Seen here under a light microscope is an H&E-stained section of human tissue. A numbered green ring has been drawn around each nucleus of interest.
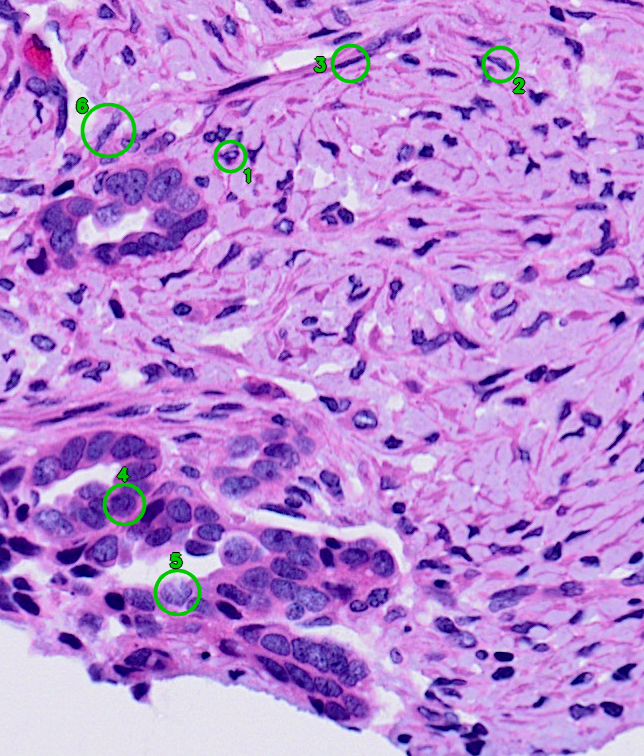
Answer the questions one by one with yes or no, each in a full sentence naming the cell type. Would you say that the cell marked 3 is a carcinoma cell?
No, cell 3 does not represent a carcinoma cell; it represents a fibroblast.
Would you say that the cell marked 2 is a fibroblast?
Yes, with respect to number 2, the cell is a fibroblast.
